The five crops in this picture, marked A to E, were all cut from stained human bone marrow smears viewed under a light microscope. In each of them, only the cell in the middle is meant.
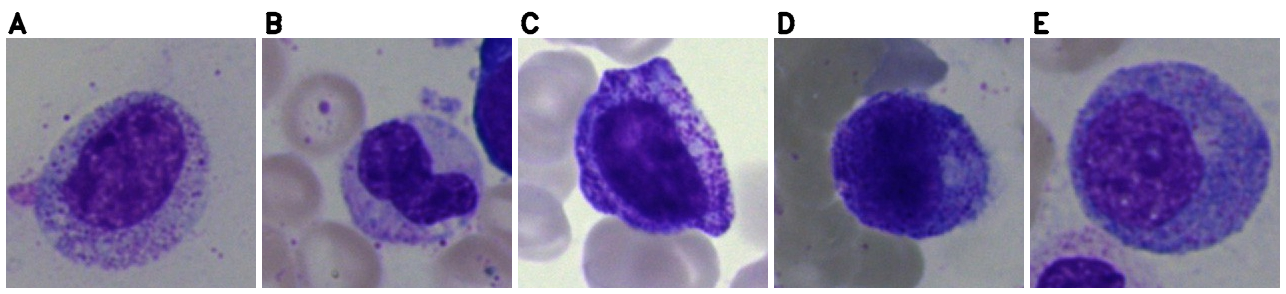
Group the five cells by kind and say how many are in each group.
metamyelocyte: 2
promyelocyte: 2
myelocyte: 1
